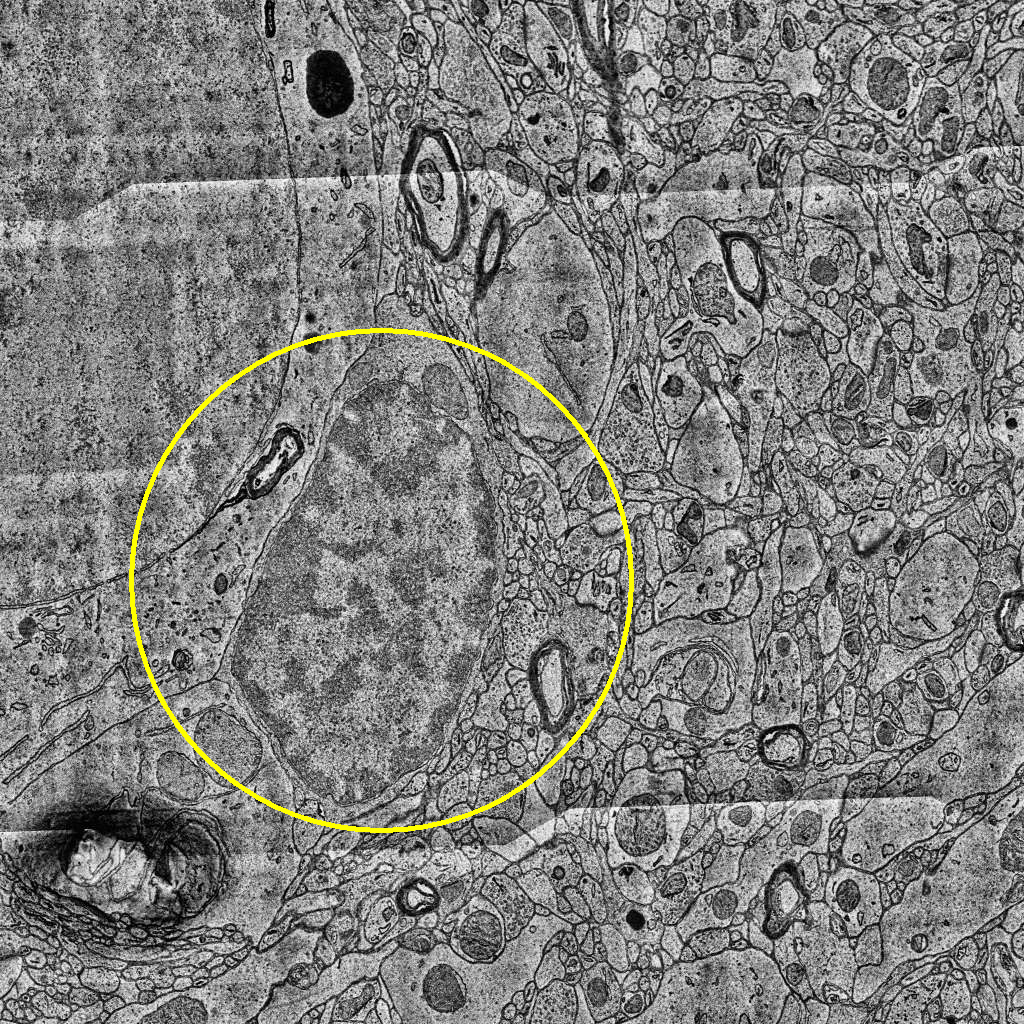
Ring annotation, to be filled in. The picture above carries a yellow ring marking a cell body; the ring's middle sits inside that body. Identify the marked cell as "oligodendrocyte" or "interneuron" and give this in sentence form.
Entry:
The cell at the middle of the ring is an oligodendrocyte.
